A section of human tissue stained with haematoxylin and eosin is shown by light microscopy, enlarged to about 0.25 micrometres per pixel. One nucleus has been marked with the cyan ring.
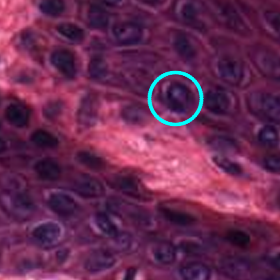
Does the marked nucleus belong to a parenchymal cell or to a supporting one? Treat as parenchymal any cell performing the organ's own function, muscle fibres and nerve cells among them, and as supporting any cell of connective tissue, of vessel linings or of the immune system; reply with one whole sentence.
The marked nucleus belongs to a cell of the parenchyma, namely a keratinocyte.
